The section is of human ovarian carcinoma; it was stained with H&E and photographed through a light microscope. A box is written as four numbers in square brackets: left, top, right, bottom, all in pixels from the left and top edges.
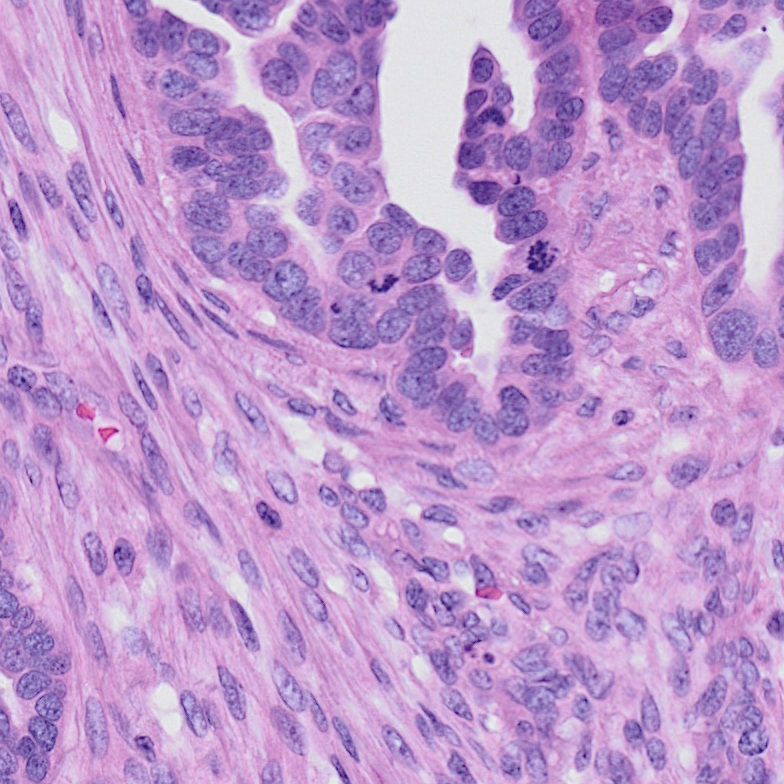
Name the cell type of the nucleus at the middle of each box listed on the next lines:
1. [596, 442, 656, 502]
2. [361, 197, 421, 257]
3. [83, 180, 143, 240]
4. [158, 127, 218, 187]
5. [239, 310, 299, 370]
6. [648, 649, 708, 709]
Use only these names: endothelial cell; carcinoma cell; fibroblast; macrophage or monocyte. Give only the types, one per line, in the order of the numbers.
fibroblast
carcinoma cell
fibroblast
carcinoma cell
fibroblast
fibroblast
